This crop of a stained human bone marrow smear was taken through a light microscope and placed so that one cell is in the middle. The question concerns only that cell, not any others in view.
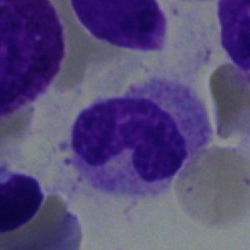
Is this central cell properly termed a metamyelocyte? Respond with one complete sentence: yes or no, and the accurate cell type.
No, the central cell is classed as a band neutrophil and not as a metamyelocyte.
